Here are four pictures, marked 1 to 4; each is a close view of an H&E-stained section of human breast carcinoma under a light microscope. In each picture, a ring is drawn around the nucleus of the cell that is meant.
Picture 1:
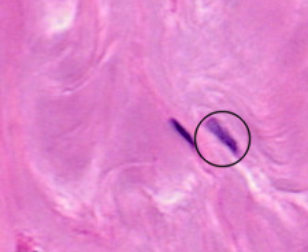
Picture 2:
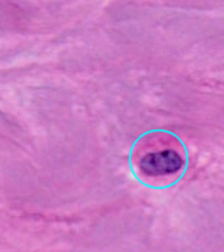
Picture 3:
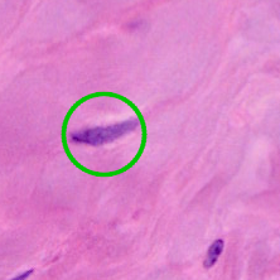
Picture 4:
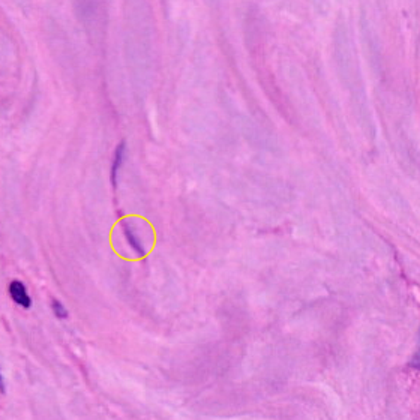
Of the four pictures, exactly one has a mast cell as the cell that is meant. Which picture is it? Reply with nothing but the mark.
2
